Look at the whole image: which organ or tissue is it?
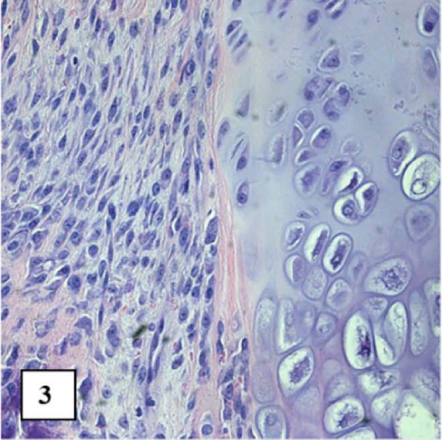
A: Well differentiated cartilage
